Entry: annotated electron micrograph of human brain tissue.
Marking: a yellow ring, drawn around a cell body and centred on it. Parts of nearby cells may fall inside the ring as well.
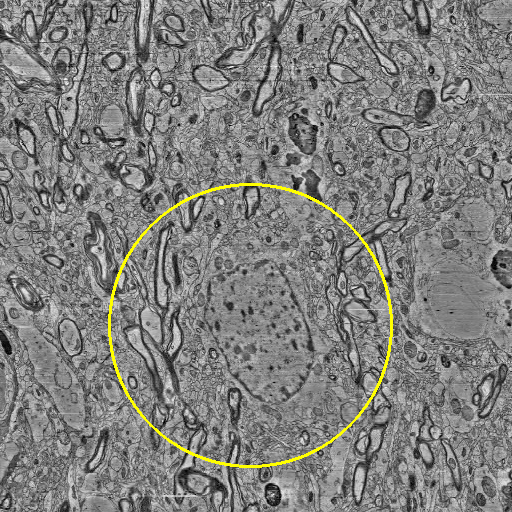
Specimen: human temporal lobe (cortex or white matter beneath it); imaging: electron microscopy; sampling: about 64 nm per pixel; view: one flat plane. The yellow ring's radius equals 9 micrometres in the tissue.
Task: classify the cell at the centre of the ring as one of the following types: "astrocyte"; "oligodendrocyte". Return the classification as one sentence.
The marked cell is classified as an astrocyte.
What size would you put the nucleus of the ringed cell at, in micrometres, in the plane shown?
The nucleus is approximately 9 micrometers long by 7 micrometers wide in this plane.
